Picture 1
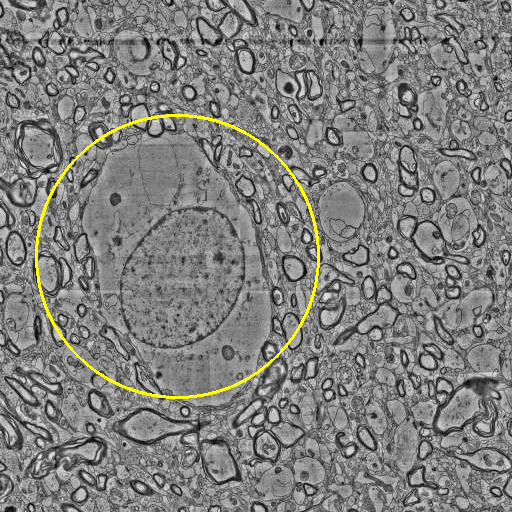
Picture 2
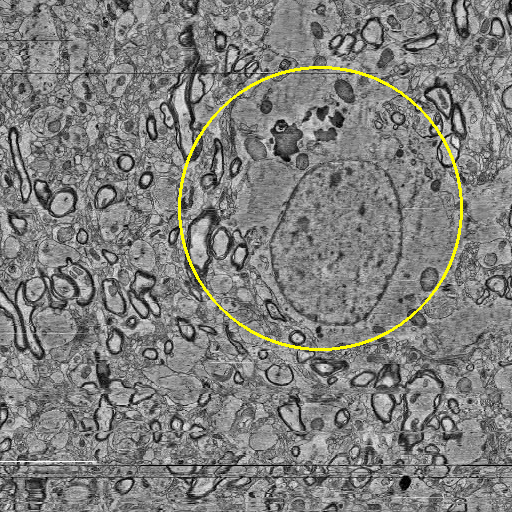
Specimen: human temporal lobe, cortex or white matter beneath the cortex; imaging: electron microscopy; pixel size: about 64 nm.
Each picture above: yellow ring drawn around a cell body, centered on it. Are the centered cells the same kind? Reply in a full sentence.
Yes, the two cells are the same kind.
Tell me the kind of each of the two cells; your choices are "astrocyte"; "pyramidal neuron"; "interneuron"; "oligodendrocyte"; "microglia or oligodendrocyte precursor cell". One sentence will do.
In the first picture and in the second, the ring is centred on an astrocyte.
